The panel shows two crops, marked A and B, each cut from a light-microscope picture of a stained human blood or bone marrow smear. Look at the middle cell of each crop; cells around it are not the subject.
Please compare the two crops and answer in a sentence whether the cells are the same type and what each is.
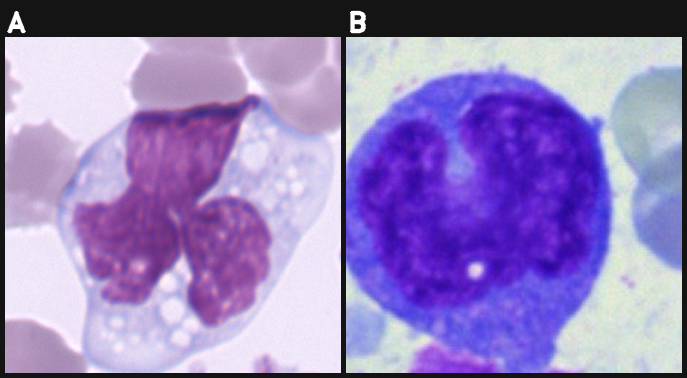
Yes, the cells that both crops show at the centre are monocytes.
